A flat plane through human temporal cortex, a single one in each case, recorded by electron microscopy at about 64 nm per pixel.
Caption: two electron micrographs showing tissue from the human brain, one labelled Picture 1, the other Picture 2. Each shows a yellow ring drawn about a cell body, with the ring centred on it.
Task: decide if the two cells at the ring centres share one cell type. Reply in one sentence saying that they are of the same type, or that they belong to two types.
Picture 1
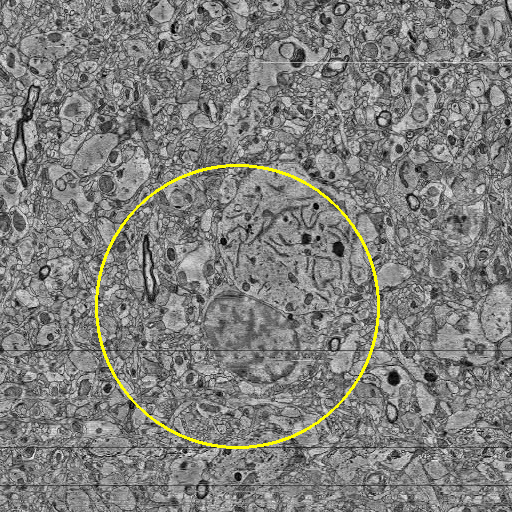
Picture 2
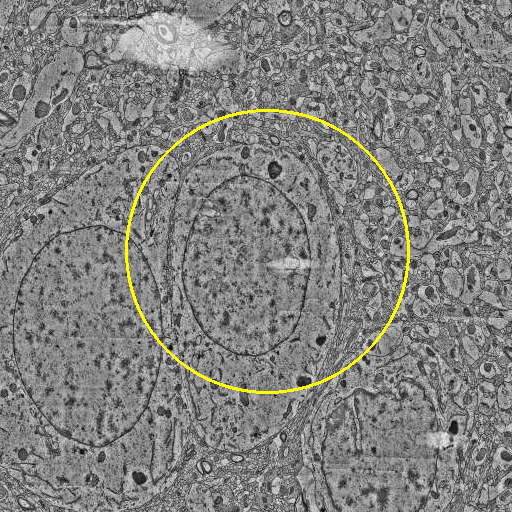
The cells at the ring centres in Picture 1 and Picture 2 belong to two types.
